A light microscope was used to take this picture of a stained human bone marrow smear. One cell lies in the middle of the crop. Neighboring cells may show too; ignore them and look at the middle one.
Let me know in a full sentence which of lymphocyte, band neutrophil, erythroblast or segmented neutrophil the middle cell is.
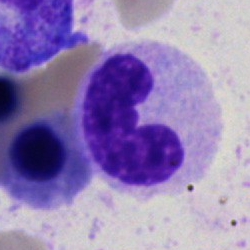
In short, the cell at the center is a band neutrophil.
